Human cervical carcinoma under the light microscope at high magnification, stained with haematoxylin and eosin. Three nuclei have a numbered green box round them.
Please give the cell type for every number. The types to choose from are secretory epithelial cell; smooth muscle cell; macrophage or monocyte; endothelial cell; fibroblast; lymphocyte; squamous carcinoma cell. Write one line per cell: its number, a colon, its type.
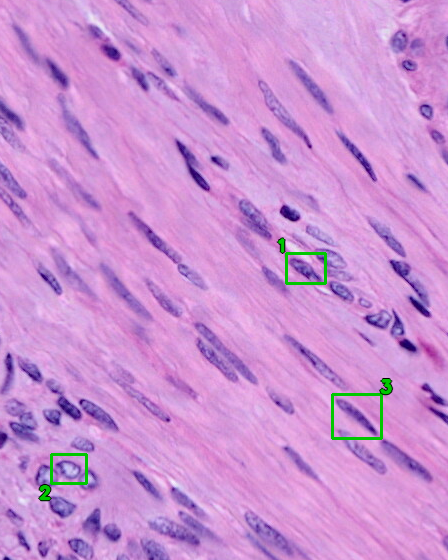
1: endothelial cell
2: endothelial cell
3: fibroblast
